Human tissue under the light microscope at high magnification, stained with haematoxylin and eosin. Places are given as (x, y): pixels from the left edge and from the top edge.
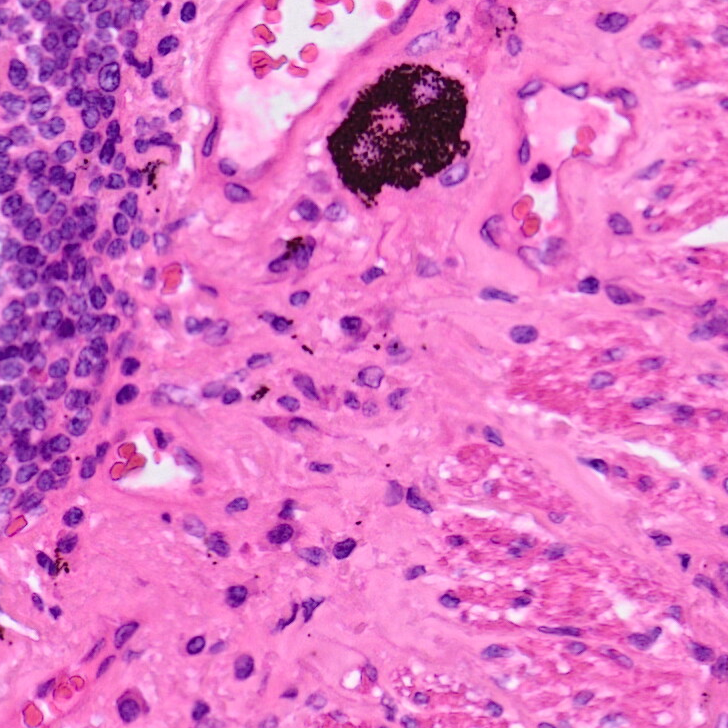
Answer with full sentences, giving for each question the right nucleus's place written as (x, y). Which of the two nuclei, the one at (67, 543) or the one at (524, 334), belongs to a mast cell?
The nucleus at (524, 334) is the one of the two that belongs to a mast cell.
